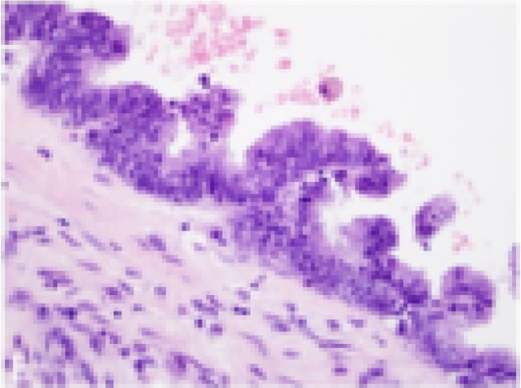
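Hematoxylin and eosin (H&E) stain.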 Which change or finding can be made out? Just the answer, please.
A: High-grade cytologic features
